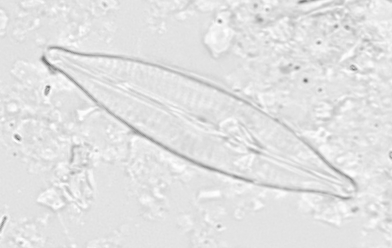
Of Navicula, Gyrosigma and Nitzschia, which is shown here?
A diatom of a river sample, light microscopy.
Navicula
